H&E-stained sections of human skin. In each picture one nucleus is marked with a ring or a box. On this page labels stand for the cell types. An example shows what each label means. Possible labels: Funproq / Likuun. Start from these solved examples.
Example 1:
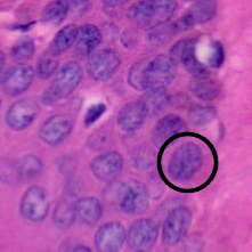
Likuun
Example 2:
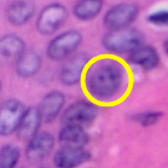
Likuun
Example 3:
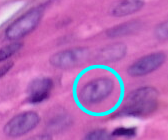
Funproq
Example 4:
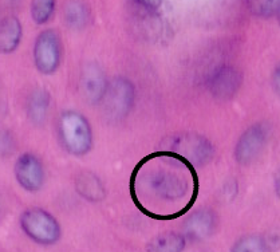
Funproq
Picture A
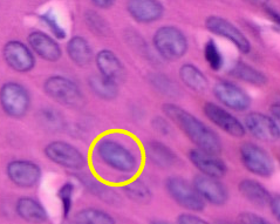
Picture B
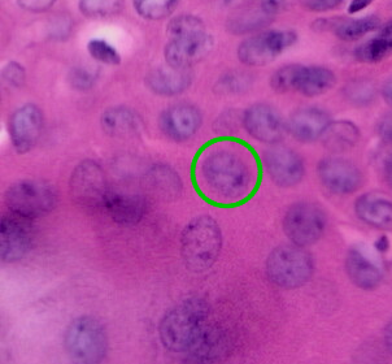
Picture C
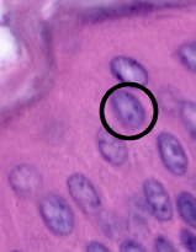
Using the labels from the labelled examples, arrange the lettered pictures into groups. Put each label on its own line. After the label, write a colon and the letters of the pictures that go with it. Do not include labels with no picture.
Funproq: A, B, C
